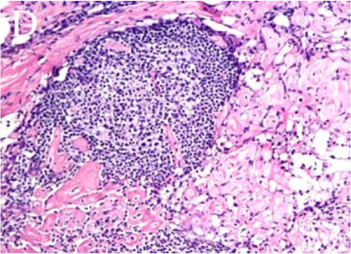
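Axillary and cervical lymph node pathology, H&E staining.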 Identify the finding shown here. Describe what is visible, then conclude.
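A round lymphoid follicle sits beside pink hyalinized vascular stroma. A pink hyalinized vessel enters the follicle from its lower edge.
Answer: “lollipop”-like appearance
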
